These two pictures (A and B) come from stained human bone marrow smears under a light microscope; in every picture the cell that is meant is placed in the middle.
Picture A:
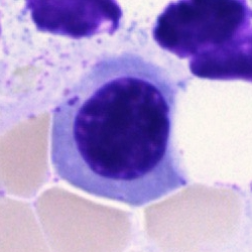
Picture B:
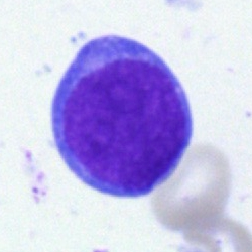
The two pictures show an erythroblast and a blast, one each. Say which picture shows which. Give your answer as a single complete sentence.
Picture A shows an erythroblast and picture B shows a blast.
